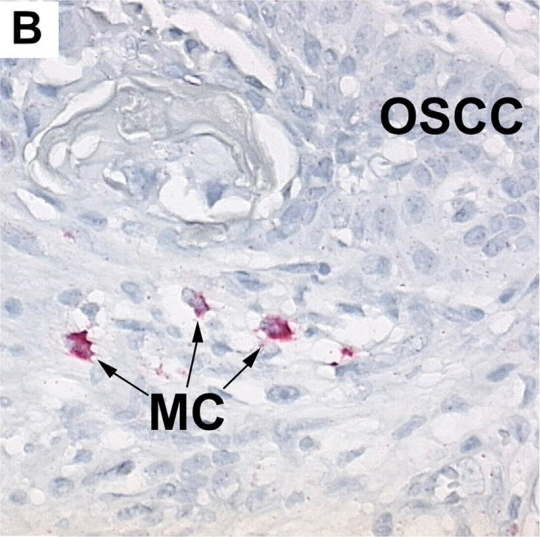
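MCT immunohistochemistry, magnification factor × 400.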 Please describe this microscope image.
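Loose stroma next to carcinoma tissue holds a few single cells with red-magenta granular cytoplasm around pale blue nuclei, some of them irregular or with short extensions. The surrounding tumour and stromal cells have pale blue oval nuclei and unstained cytoplasm. A pale, laminated, keratin-like whorl lies in the upper part of the field.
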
